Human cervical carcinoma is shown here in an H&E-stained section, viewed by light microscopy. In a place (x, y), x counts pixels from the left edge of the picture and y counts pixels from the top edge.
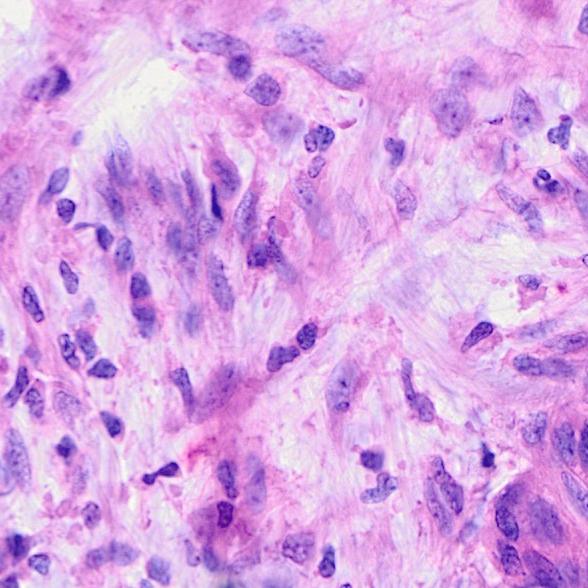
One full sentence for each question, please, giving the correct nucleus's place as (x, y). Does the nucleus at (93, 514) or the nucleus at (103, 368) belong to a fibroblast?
Lying within a fibroblast is the nucleus at (93, 514).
